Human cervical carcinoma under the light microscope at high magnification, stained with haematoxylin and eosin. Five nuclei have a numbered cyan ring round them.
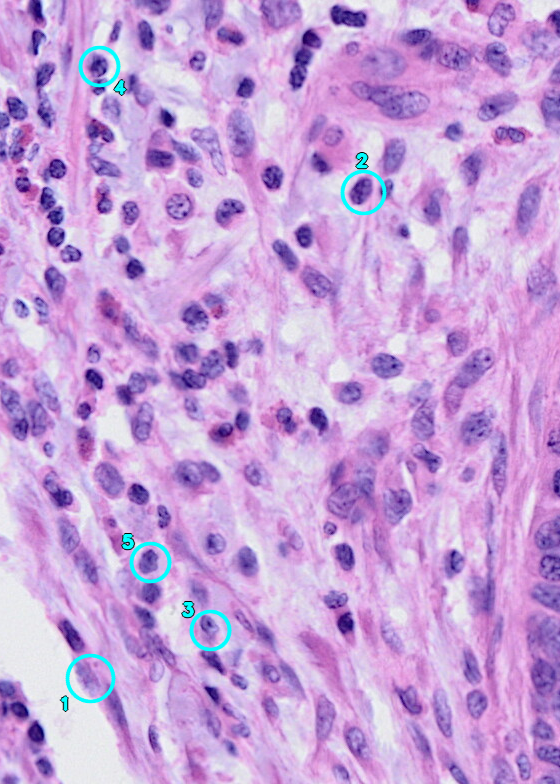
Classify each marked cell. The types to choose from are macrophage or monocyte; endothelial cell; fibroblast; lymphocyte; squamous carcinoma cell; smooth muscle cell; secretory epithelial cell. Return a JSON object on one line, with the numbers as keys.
{"1": "endothelial cell", "2": "lymphocyte", "3": "macrophage or monocyte", "4": "lymphocyte", "5": "lymphocyte"}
